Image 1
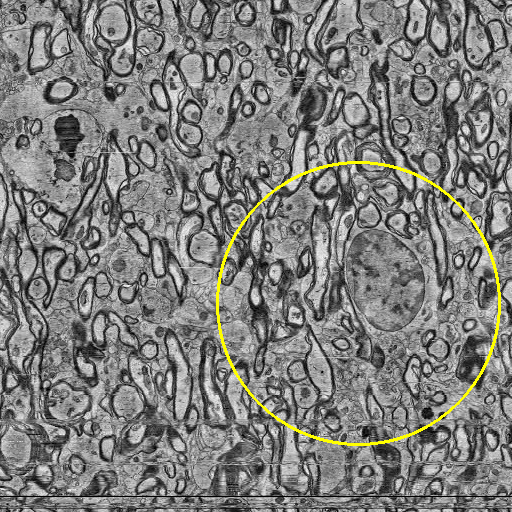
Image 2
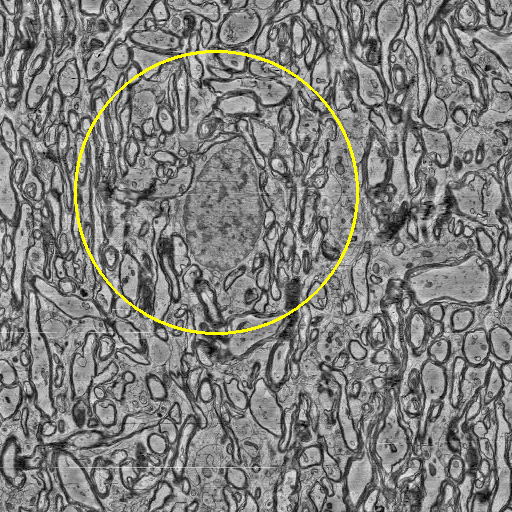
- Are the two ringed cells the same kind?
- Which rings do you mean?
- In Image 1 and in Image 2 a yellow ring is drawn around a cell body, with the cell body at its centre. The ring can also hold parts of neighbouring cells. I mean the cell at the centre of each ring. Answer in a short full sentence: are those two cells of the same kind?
No, the cells are of two kinds.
